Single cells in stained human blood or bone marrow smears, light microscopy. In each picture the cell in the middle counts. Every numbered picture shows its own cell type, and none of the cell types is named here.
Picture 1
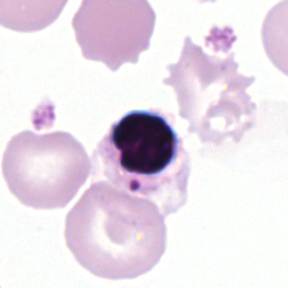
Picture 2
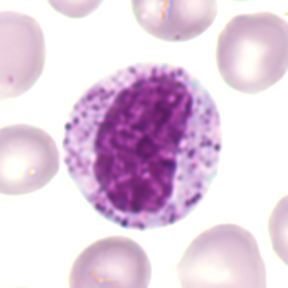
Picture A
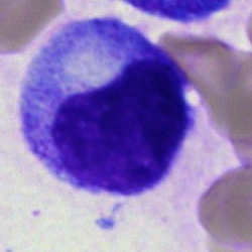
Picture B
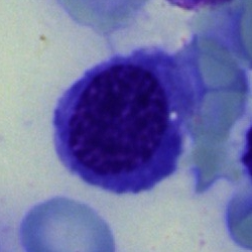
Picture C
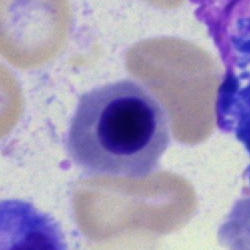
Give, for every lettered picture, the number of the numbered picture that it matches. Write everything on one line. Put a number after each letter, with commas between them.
A 2, B 1, C 1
